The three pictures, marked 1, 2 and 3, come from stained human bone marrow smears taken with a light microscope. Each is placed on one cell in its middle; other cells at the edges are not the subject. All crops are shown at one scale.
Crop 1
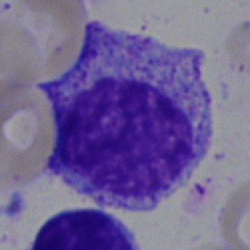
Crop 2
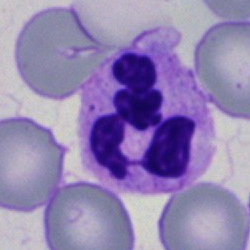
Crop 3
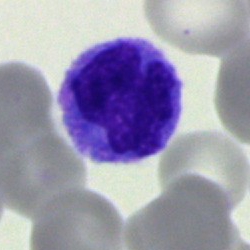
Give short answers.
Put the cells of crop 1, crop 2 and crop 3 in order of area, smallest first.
3, 2, 1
